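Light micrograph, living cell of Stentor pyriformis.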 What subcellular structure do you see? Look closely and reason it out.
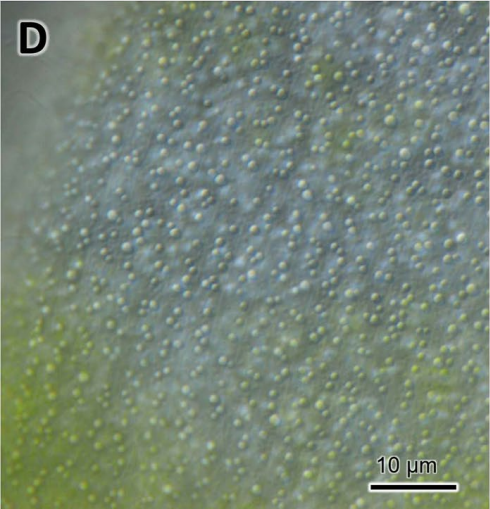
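A dense even field of tiny round refractile vesicles. The answer: Surface vesicles.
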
